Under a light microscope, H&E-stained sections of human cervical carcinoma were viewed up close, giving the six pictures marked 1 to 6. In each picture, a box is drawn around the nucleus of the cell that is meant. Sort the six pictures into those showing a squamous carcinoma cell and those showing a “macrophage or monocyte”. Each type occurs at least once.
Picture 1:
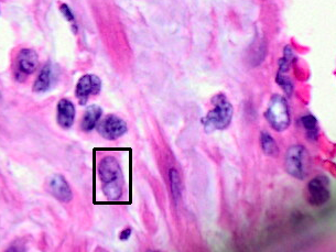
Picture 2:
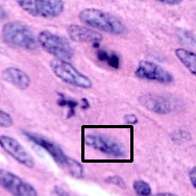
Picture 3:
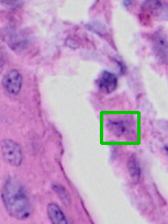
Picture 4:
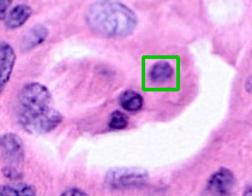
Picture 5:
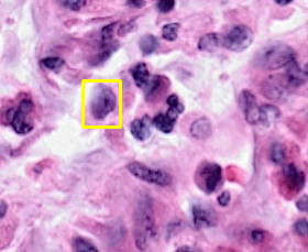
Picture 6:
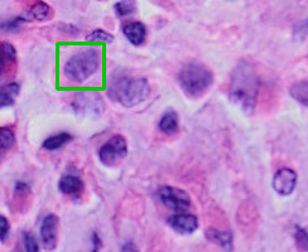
1: macrophage or monocyte
2: squamous carcinoma cell
3: macrophage or monocyte
4: squamous carcinoma cell
5: macrophage or monocyte
6: macrophage or monocyte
